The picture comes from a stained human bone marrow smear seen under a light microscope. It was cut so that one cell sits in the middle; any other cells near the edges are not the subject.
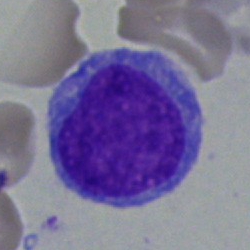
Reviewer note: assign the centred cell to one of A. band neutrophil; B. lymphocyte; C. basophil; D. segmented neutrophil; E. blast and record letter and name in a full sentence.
The central cell in this crop is a blast, corresponding to option E, the correct option.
